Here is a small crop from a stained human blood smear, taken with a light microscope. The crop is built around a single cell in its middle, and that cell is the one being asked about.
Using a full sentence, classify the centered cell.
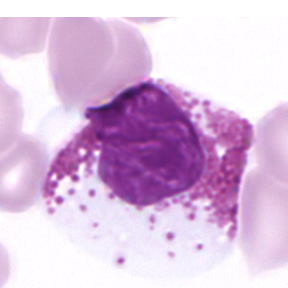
By type, the central cell of the crop is an eosinophil.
